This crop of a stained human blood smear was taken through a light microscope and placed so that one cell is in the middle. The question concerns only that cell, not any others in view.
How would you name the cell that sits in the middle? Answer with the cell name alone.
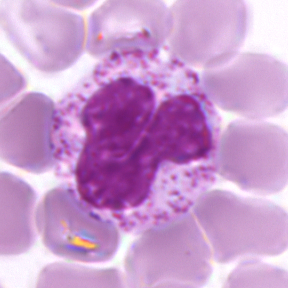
band neutrophil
